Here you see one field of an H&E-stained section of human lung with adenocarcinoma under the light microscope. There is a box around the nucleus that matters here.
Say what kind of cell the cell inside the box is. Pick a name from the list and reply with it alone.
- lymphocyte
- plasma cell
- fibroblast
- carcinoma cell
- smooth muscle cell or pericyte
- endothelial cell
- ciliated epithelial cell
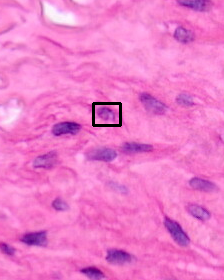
smooth muscle cell or pericyte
